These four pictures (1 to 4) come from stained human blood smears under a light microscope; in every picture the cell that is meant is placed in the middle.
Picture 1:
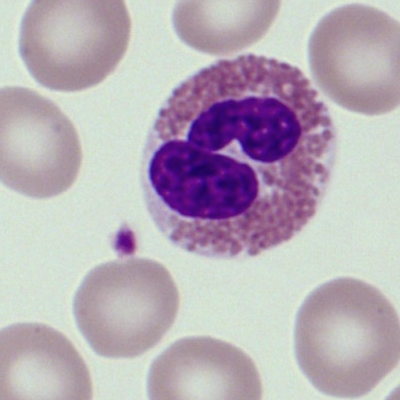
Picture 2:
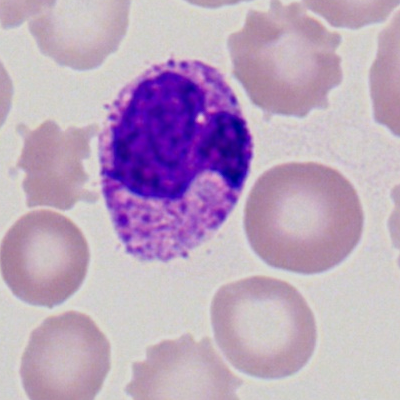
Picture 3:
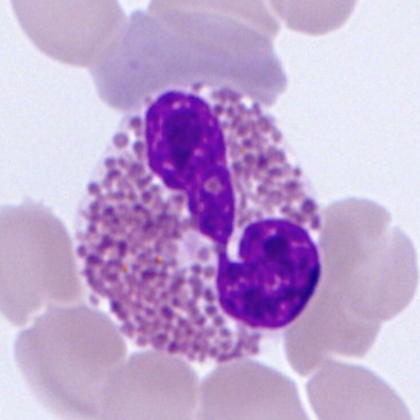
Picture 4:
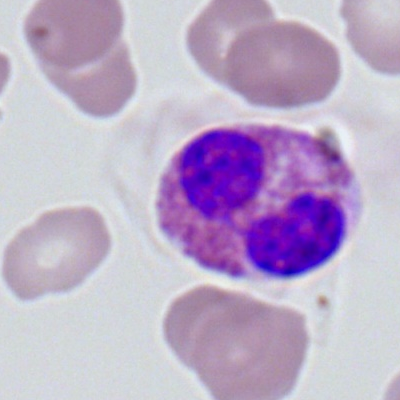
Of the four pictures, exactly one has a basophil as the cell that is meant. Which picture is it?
2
